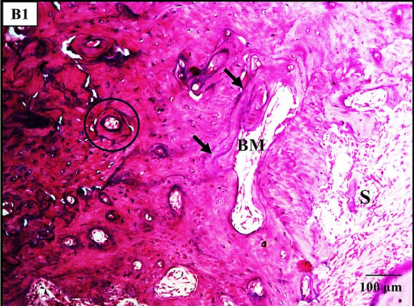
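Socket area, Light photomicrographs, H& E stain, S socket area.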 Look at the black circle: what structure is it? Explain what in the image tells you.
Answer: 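Osteons. A small central canal is surrounded by concentric rings of matrix. It lies within dense, deeply stained bone.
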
